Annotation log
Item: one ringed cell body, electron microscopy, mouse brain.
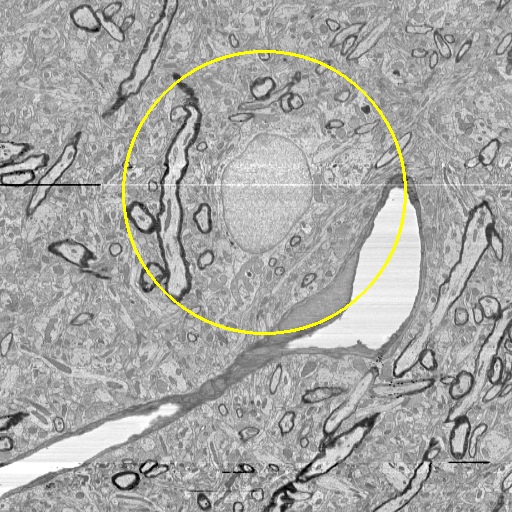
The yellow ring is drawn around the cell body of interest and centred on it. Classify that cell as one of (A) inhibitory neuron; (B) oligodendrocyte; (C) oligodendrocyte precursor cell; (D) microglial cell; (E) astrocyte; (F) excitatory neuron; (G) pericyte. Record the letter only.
E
